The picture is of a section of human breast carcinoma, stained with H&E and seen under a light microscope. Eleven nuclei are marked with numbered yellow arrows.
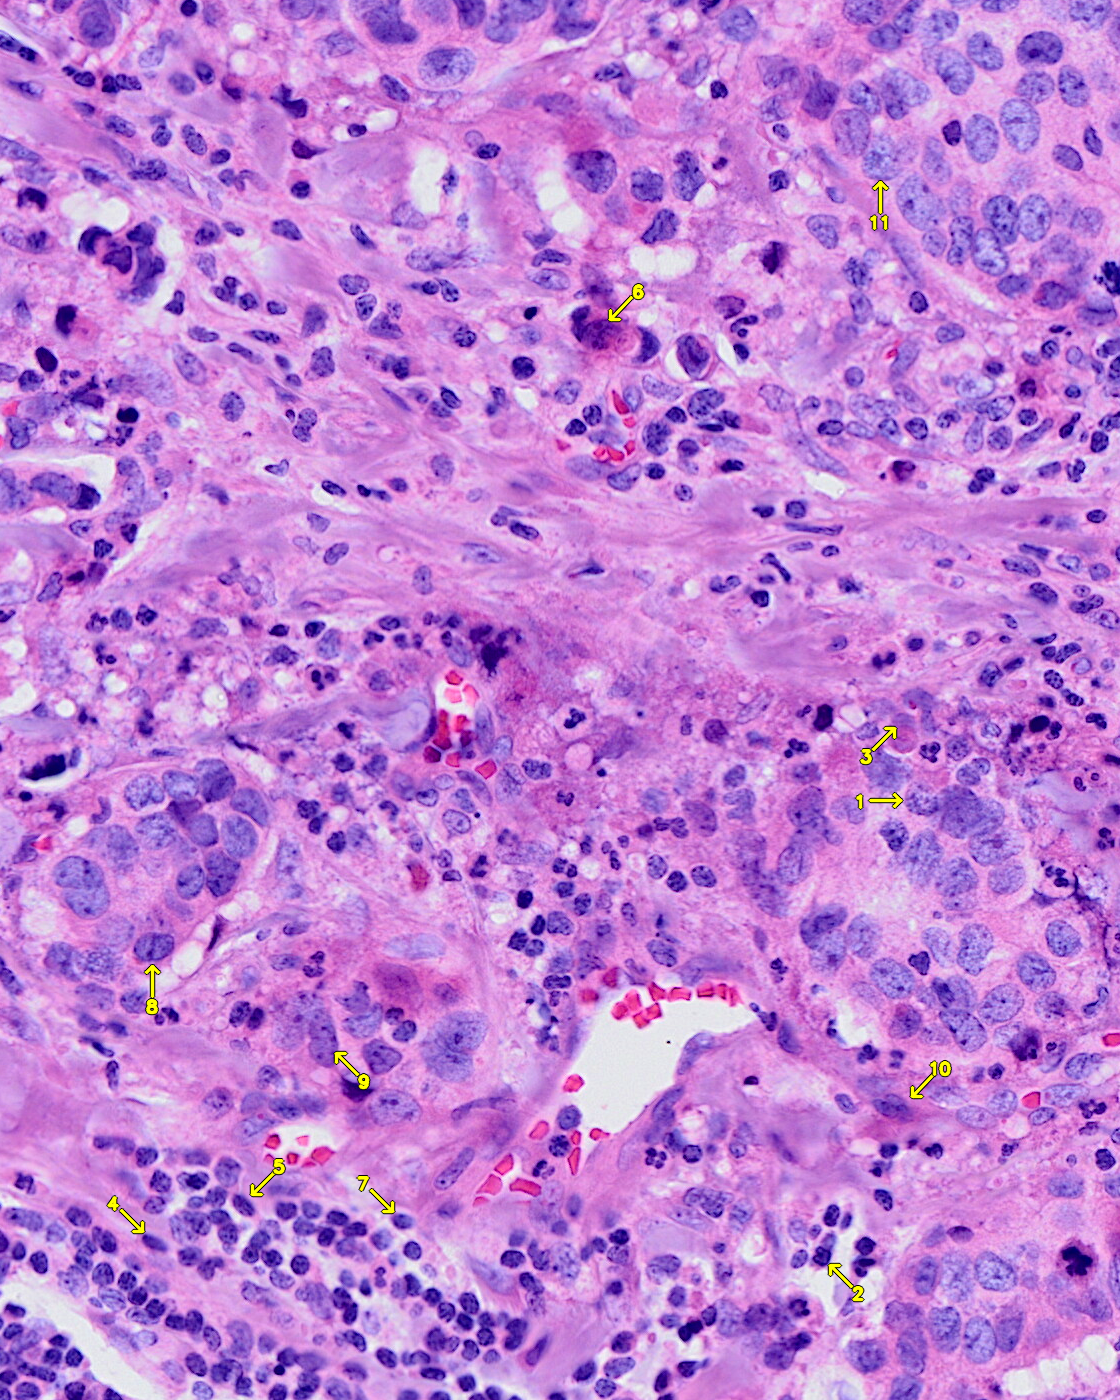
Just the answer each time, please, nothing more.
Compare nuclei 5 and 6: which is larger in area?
6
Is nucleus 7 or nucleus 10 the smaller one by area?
7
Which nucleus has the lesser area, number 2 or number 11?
2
